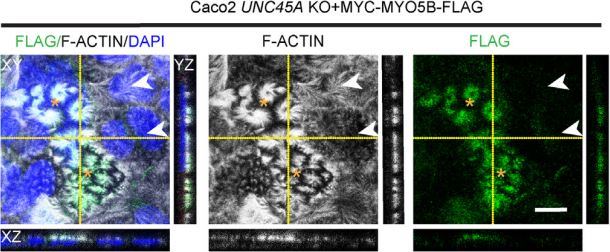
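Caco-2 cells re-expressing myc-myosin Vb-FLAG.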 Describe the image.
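Some cells show a bright apical actin pattern and a granular green signal gathered near the top of the cell. Other cells nearby have only faint apical actin and lack the green signal.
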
